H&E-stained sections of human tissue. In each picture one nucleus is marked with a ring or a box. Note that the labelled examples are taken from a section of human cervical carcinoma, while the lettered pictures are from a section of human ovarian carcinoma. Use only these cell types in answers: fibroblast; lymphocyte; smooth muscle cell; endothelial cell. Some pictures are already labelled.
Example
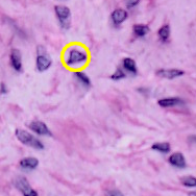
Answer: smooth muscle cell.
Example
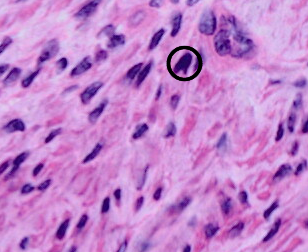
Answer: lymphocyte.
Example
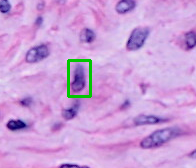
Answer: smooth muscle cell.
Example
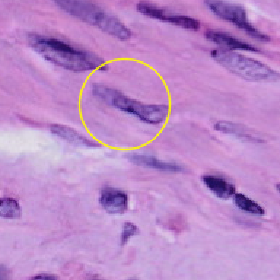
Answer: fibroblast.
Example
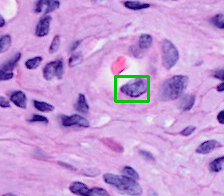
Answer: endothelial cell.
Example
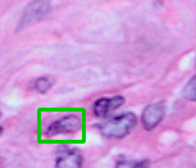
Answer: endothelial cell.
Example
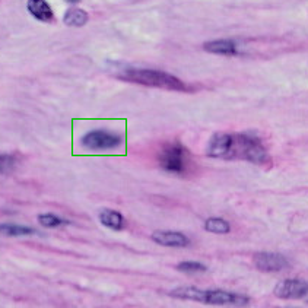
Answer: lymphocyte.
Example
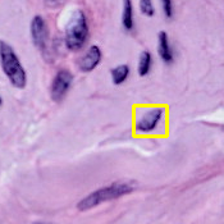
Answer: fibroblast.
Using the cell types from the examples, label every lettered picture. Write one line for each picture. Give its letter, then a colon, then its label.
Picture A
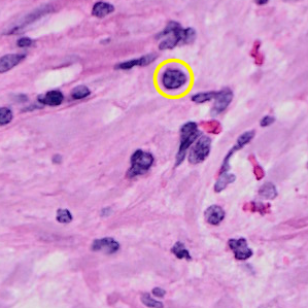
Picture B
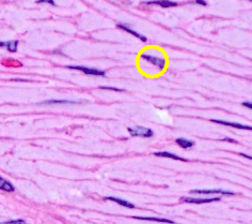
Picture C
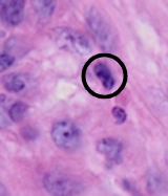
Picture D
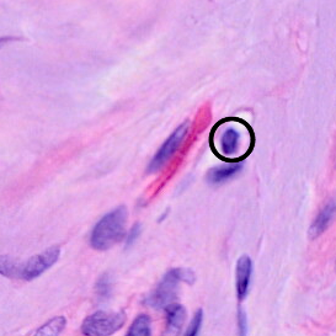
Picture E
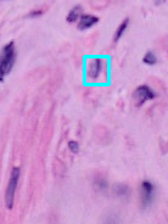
A: lymphocyte.
B: fibroblast.
C: lymphocyte.
D: lymphocyte.
E: smooth muscle cell.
